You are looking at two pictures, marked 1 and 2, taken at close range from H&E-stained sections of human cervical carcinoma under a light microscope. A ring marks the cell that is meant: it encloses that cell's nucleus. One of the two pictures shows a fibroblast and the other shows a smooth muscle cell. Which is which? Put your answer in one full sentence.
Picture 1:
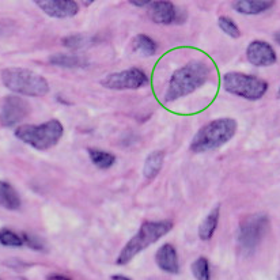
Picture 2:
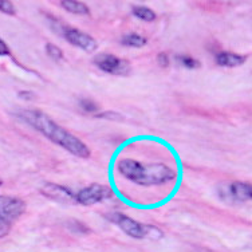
Picture 1 shows a fibroblast and picture 2 shows a smooth muscle cell.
